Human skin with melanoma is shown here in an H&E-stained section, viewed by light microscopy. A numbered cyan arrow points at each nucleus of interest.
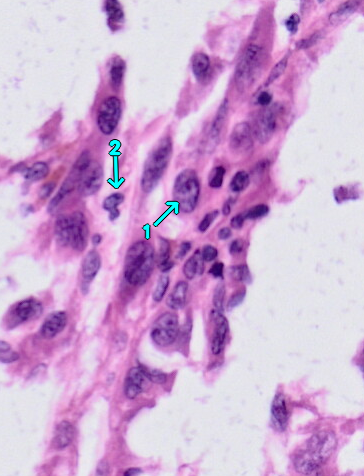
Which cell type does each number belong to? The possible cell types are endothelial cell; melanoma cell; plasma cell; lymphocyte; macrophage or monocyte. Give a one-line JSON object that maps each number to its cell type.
{"1": "melanoma cell", "2": "lymphocyte"}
